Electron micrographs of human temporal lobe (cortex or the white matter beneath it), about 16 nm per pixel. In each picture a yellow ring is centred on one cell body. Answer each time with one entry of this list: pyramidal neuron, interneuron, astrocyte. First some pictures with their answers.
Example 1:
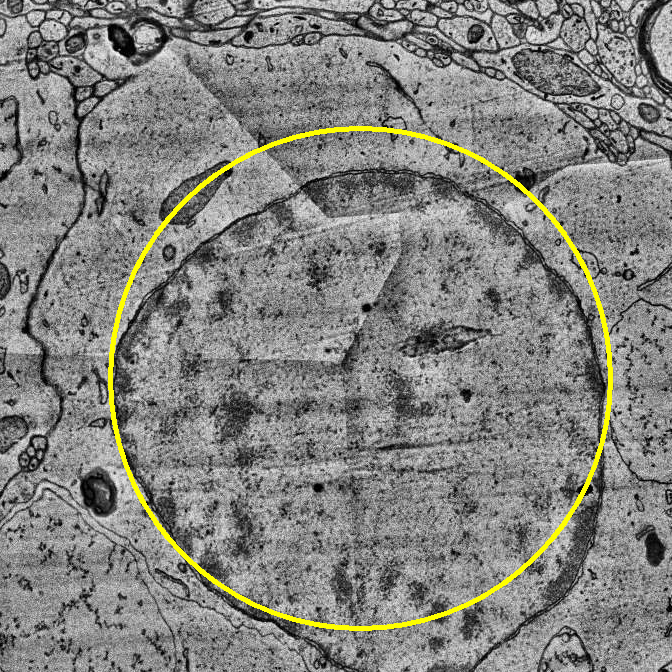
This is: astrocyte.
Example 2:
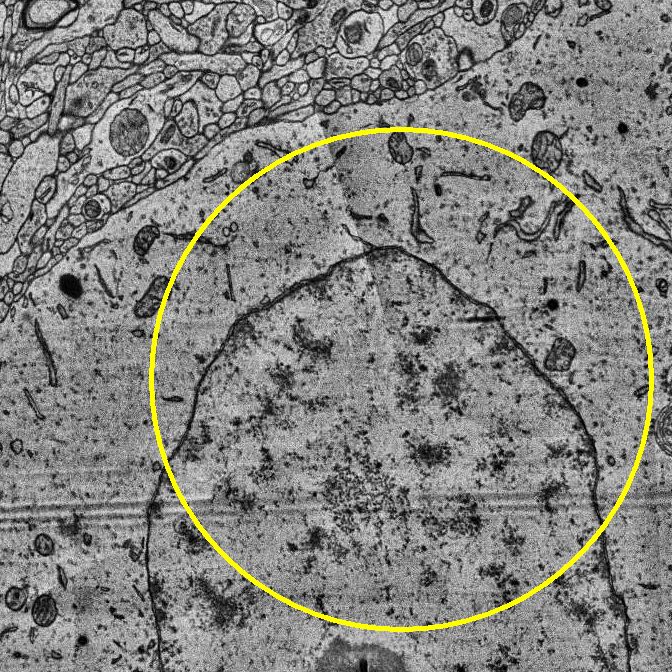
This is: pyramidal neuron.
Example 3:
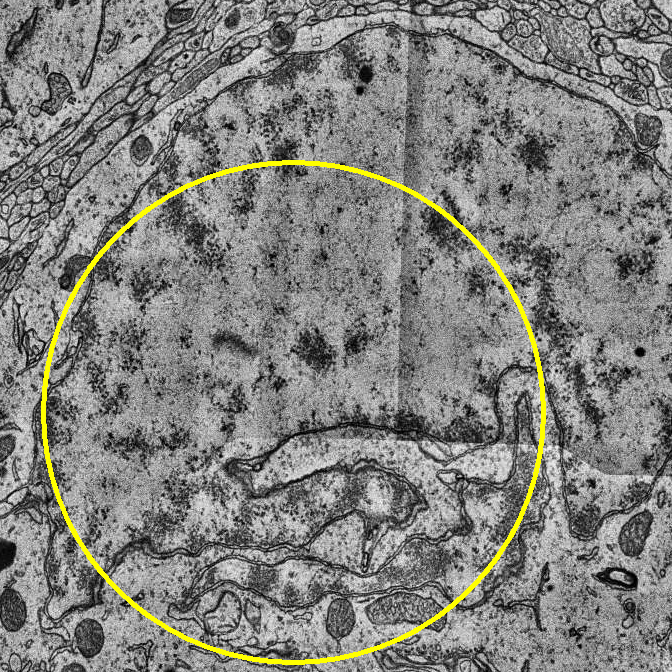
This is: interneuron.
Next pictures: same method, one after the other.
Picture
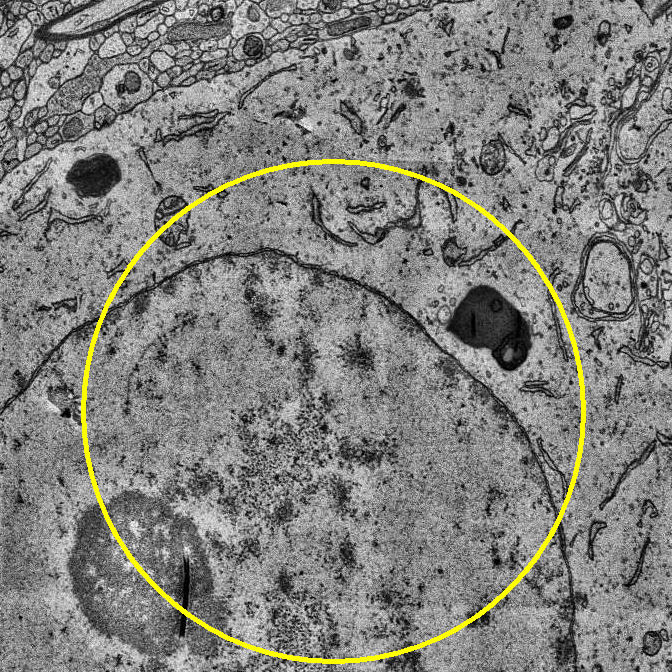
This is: pyramidal neuron.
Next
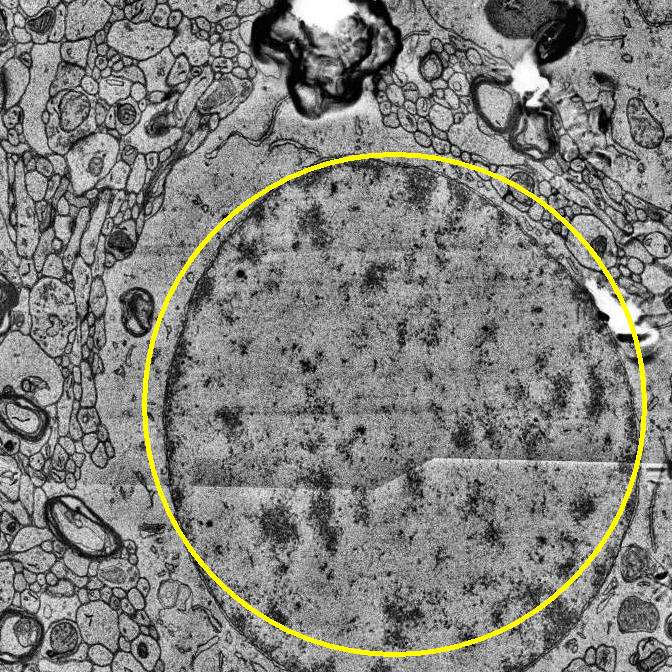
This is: astrocyte.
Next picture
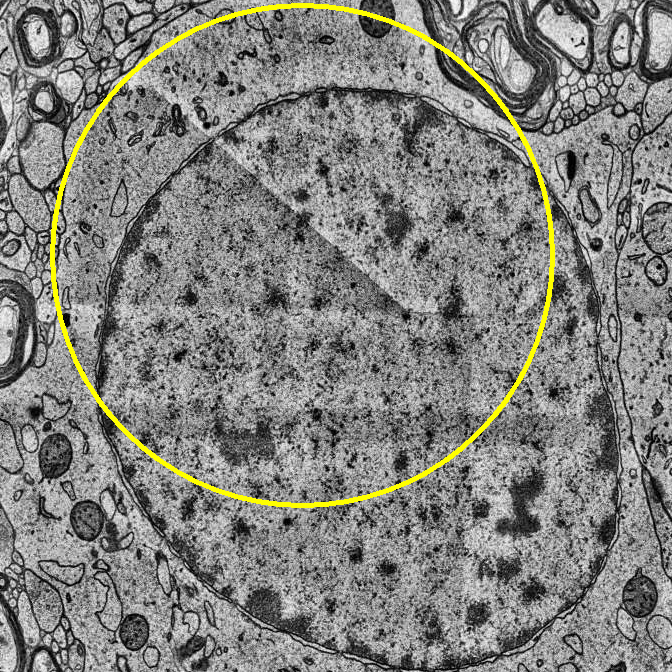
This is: astrocyte.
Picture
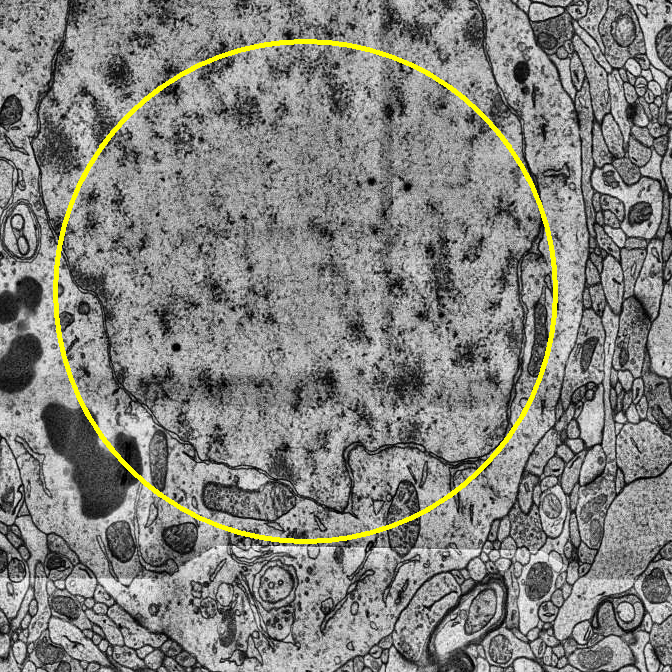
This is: interneuron.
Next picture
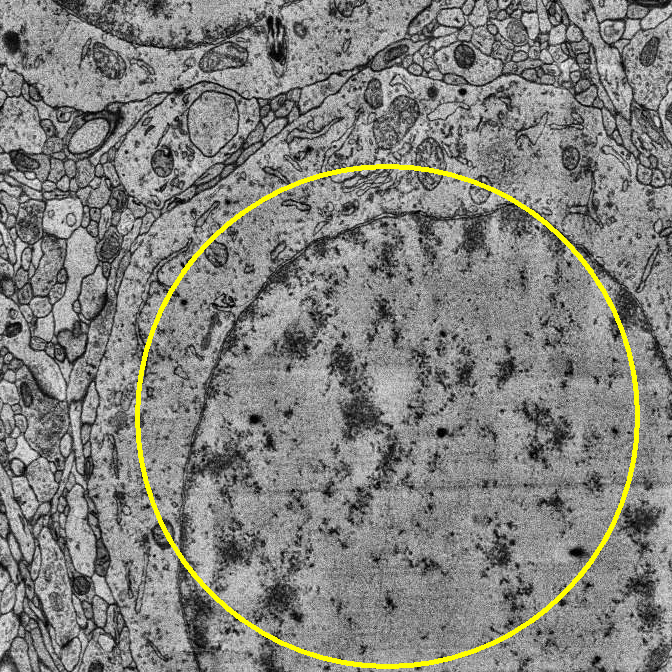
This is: pyramidal neuron.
